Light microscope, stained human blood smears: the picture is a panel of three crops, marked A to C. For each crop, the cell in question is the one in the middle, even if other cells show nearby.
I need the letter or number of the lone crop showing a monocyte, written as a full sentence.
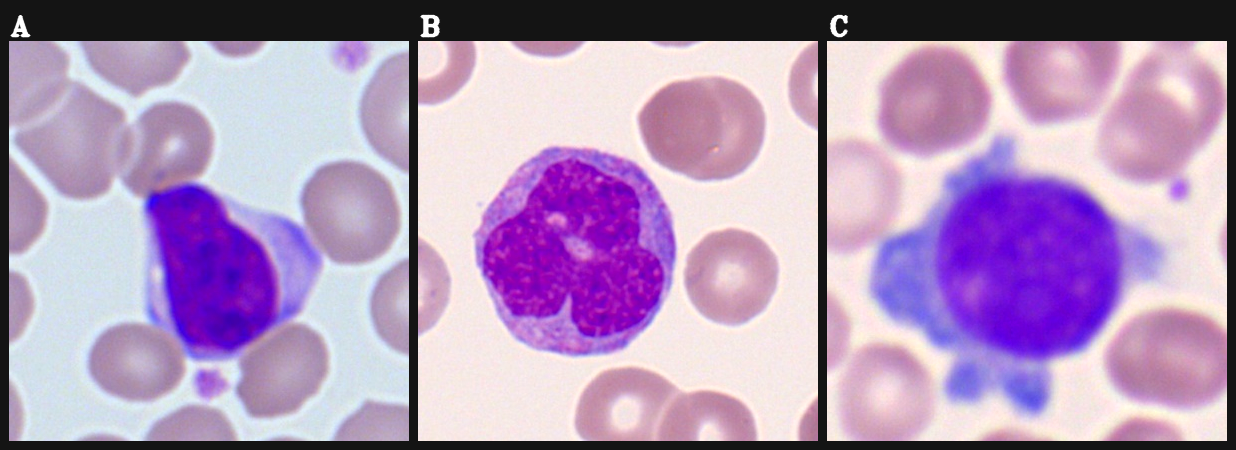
That would be crop B; it shows a monocyte.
